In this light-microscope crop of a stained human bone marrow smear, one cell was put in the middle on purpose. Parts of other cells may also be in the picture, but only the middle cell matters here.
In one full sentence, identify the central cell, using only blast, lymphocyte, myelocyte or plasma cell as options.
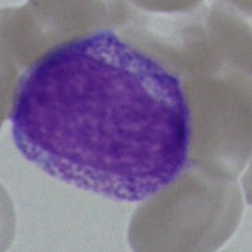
In short, the cell at the center is a myelocyte.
